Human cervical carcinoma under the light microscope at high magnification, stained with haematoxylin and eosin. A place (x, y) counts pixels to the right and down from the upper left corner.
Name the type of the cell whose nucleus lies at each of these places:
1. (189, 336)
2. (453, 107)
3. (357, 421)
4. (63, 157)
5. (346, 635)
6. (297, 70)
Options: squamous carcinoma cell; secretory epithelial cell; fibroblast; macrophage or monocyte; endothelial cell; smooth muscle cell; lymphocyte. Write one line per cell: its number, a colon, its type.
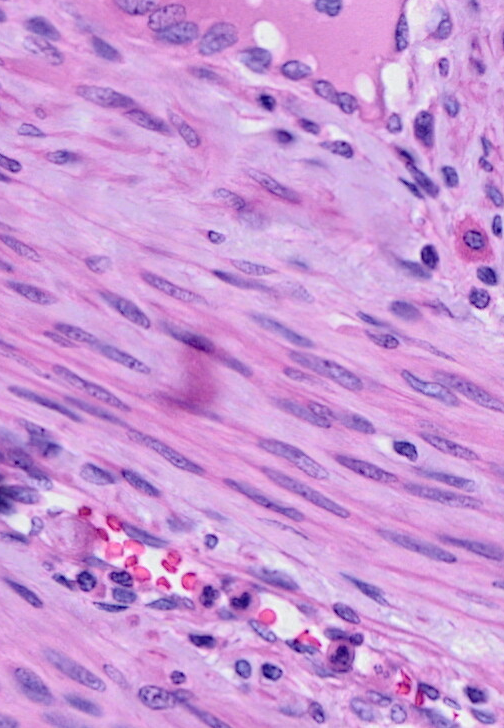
1: smooth muscle cell
2: smooth muscle cell
3: smooth muscle cell
4: smooth muscle cell
5: endothelial cell
6: endothelial cell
